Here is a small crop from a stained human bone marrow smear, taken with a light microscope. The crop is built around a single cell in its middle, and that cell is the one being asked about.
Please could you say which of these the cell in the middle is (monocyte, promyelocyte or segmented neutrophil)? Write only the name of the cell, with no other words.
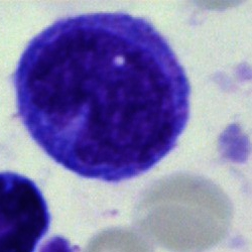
monocyte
